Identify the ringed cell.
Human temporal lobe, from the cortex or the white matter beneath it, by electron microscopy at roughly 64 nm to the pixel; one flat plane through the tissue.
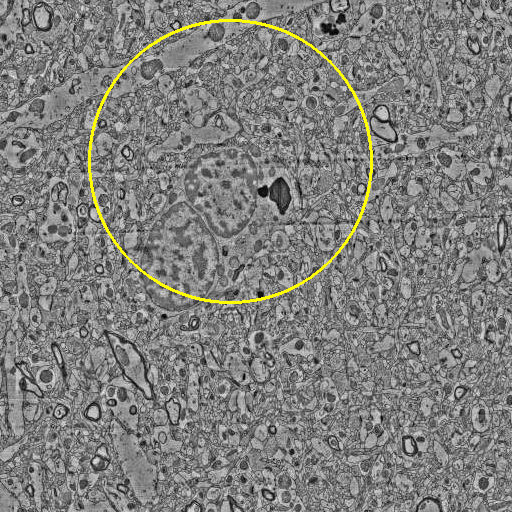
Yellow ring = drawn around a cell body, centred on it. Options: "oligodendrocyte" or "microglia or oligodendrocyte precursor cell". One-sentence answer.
What the ring is centred on is an oligodendrocyte.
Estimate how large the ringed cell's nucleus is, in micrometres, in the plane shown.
The nucleus comes to roughly 5 micrometres across in this plane.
